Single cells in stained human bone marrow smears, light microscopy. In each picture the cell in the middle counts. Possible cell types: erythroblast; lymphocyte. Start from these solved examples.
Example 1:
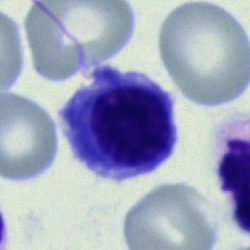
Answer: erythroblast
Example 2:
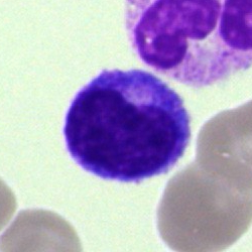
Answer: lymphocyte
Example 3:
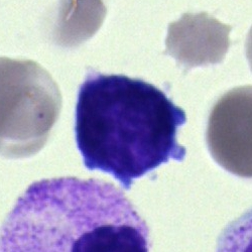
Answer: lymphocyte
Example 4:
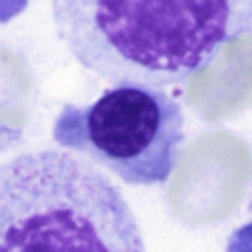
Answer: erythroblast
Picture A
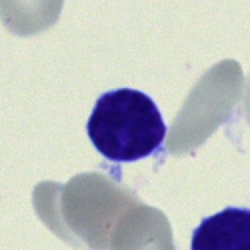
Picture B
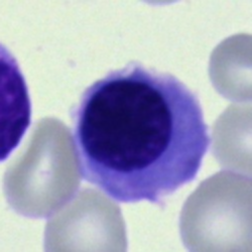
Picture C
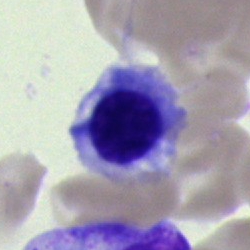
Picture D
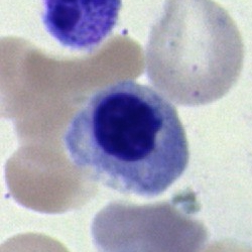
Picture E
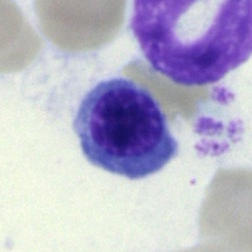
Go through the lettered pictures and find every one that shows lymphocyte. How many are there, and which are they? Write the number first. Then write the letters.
Count: 1 (A)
